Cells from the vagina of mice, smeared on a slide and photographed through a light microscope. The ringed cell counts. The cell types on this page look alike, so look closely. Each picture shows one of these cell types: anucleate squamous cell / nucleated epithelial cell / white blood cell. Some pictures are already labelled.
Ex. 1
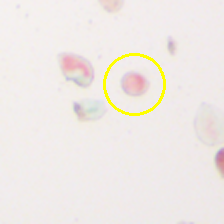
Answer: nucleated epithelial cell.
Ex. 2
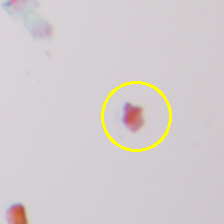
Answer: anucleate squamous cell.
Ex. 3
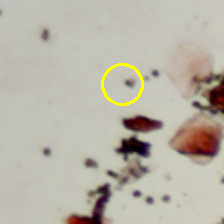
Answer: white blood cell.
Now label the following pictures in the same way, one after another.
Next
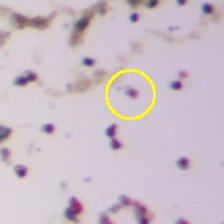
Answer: white blood cell.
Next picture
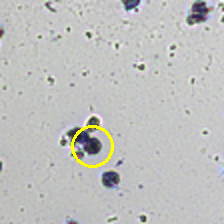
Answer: white blood cell.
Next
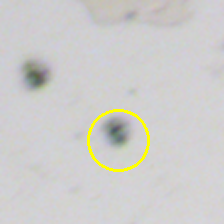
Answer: white blood cell.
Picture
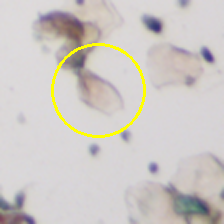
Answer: anucleate squamous cell.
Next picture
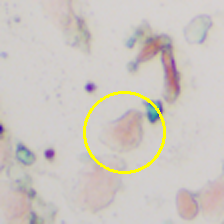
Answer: anucleate squamous cell.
